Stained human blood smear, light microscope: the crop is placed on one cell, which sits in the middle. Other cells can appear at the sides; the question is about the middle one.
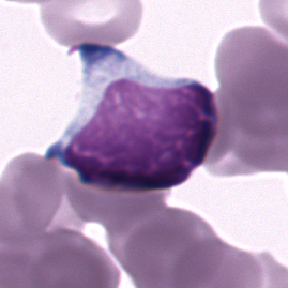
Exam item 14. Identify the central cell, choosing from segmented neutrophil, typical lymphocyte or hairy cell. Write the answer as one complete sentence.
Located at the centre of the crop is a typical lymphocyte.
